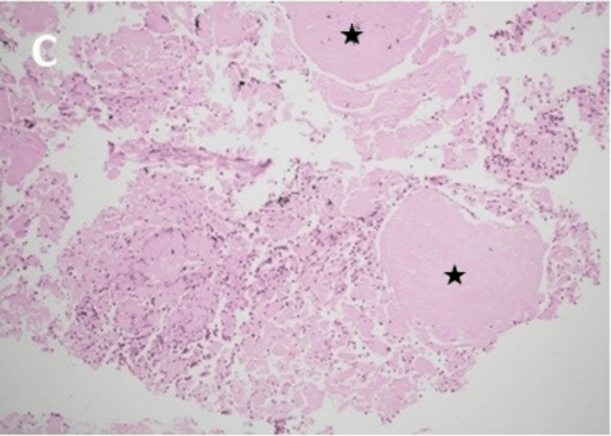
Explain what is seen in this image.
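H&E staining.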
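Around and between them lies more cellular tissue, where many small cells with dark, round, purple nuclei are scattered. These are inflammatory cells, and they surround the pale pink deposits rather than infiltrate them. The tissue is loosely arranged and partly torn, with clear gaps between fragments, and a few fine dark particles are dispersed here and there.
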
